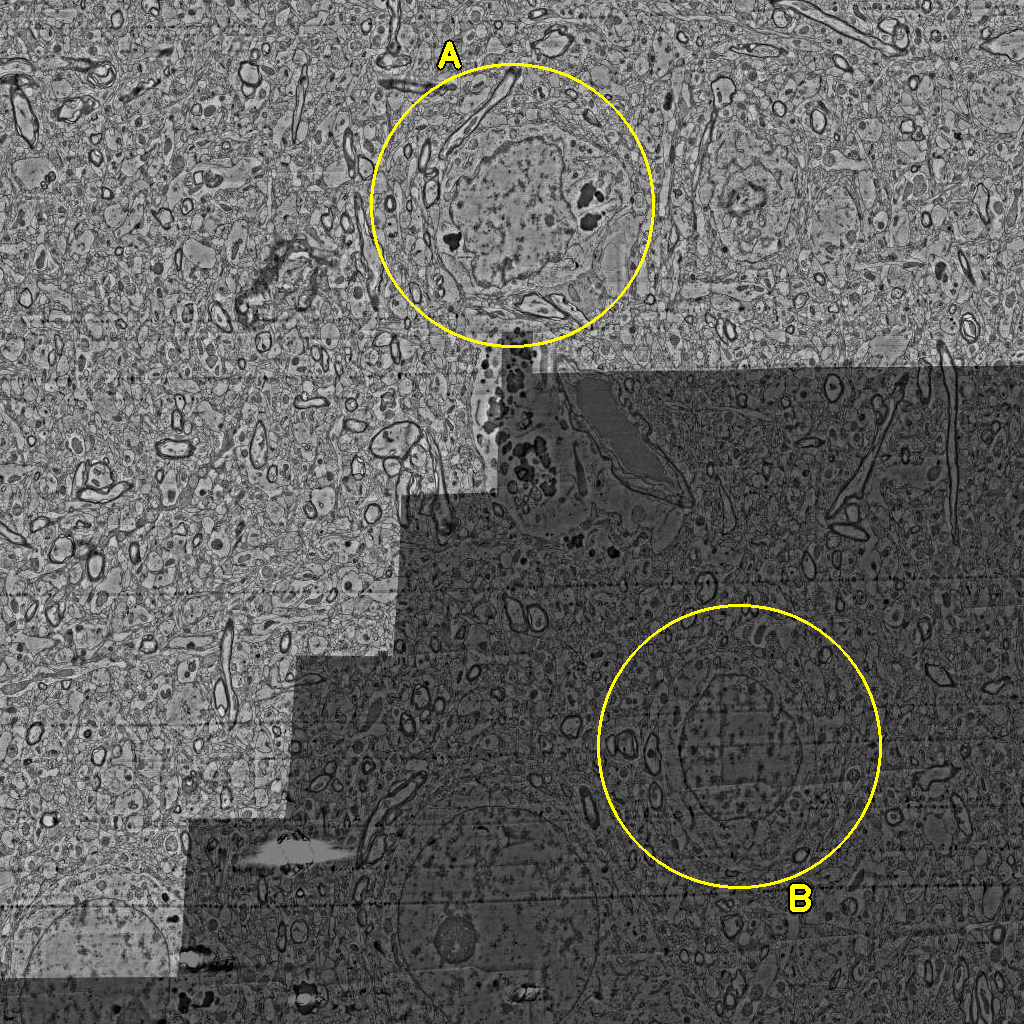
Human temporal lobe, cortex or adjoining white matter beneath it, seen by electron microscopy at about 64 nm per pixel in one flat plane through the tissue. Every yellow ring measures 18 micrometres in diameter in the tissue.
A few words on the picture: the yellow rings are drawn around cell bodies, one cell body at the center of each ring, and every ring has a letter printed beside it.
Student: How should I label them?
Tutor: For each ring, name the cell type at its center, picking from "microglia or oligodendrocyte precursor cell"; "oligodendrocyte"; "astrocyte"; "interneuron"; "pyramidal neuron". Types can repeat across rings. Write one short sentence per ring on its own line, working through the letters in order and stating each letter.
In ring A, the central cell is an interneuron.
In ring B, the central cell is a pyramidal neuron.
